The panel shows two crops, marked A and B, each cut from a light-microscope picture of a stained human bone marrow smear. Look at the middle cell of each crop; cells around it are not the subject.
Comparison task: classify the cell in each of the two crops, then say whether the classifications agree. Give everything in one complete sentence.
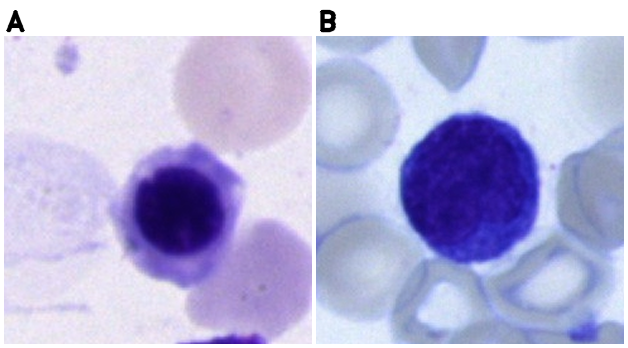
No, look again: crop A shows an erythroblast, and crop B shows a lymphocyte.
